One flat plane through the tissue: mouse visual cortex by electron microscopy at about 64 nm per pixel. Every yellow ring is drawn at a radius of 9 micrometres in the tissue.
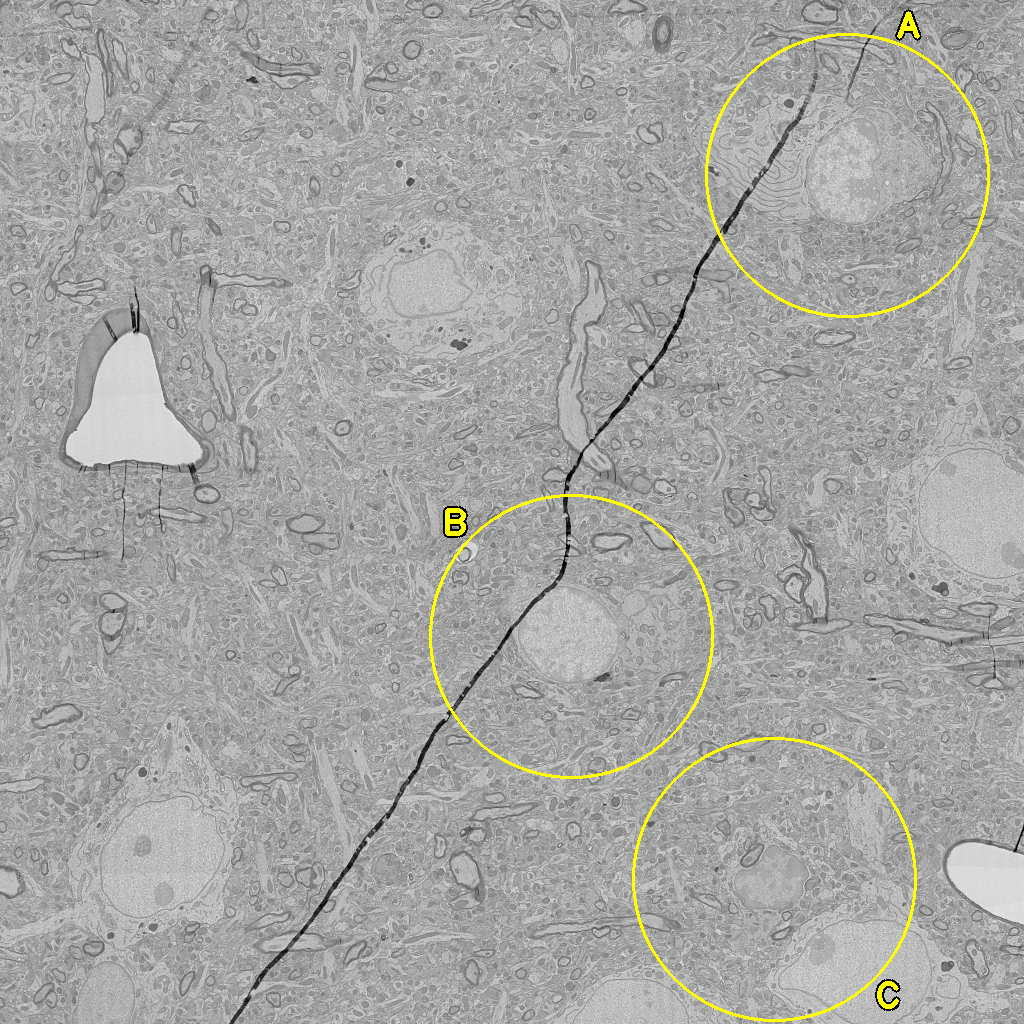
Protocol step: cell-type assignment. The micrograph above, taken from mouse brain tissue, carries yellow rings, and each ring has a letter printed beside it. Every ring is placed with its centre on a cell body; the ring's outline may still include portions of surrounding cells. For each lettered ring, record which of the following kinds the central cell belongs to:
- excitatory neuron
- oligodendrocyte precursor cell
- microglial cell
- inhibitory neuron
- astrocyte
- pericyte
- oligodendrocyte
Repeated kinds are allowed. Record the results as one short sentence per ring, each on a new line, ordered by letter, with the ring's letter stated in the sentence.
In ring A, the central cell is an oligodendrocyte.
In ring B, the central cell is an oligodendrocyte.
In ring C, the central cell is a microglial cell.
